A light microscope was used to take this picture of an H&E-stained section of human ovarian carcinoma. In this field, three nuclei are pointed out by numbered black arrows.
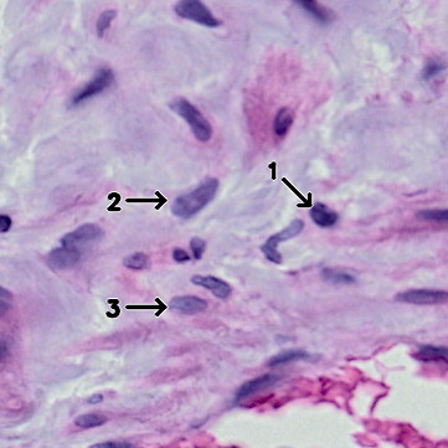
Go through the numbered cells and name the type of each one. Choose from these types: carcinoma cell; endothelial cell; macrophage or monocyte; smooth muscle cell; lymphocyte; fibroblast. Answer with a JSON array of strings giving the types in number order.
["lymphocyte", "fibroblast", "smooth muscle cell"]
